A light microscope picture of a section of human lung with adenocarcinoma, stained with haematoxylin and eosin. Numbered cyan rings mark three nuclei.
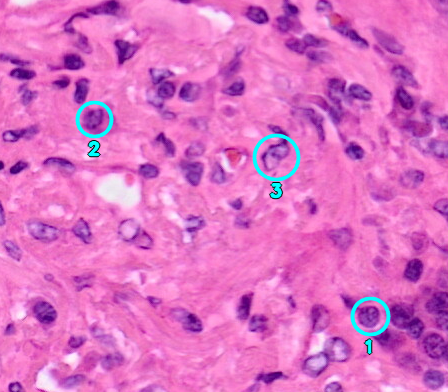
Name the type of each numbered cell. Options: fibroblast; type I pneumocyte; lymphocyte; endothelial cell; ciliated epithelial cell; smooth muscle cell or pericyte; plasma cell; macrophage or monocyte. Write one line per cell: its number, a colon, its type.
1: lymphocyte
2: plasma cell
3: fibroblast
